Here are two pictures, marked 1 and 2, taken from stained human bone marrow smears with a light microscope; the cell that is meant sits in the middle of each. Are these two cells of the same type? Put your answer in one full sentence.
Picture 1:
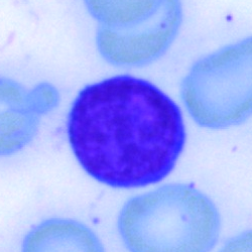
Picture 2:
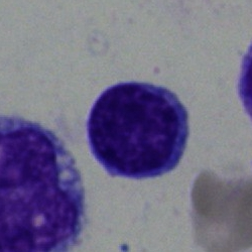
Yes, they are the same type: both are lymphocytes.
